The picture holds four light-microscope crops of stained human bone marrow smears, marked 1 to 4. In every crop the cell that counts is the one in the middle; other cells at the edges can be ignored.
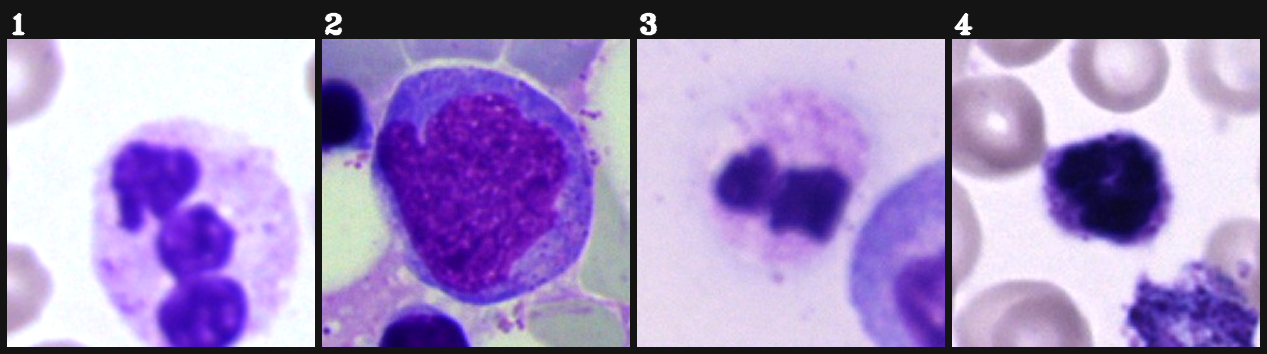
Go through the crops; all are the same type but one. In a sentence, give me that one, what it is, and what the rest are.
The exception is crop 2, with a monocyte; the remaining crops all show segmented neutrophils.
